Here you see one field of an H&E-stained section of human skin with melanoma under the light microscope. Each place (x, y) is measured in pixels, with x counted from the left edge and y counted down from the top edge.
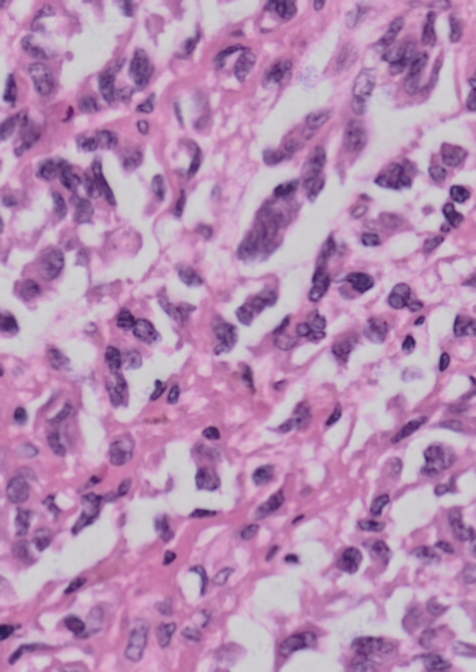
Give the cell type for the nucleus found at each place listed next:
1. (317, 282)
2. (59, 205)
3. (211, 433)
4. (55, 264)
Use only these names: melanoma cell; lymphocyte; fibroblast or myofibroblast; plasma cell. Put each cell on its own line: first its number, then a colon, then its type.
1: melanoma cell
2: melanoma cell
3: lymphocyte
4: melanoma cell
